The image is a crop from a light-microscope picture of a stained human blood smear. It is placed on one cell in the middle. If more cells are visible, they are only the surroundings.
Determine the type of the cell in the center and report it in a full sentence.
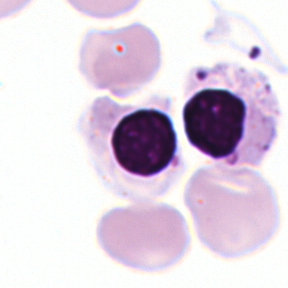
The cell that lies at the centre of the crop is a normoblast.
